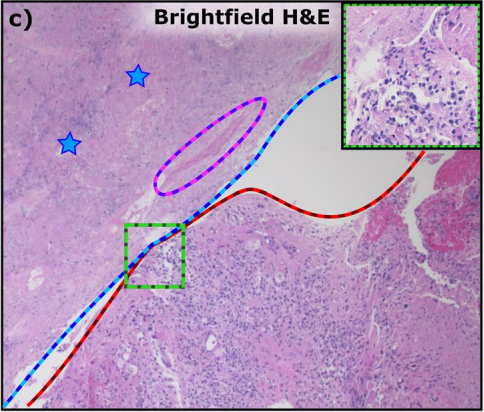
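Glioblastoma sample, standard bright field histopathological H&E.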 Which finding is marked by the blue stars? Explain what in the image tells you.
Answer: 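Necrotic region. The starred area is a pale pink-lilac field with few well-formed nuclei. It contains granular, smudgy debris rather than an orderly cell layout. It contrasts with the densely nucleated tissue below the lines.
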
